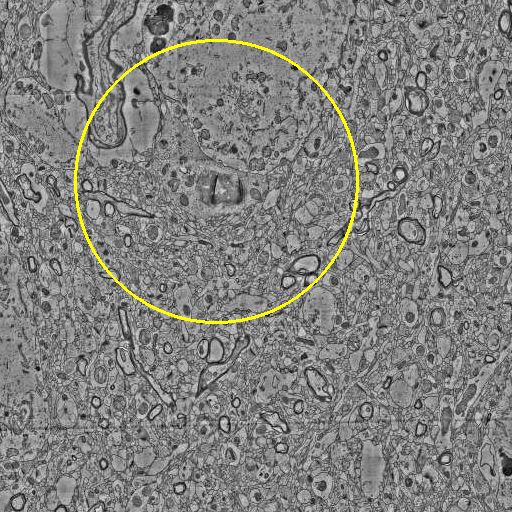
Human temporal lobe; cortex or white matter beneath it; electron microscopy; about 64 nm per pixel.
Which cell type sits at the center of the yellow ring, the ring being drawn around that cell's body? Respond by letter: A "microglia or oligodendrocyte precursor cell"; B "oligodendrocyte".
B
